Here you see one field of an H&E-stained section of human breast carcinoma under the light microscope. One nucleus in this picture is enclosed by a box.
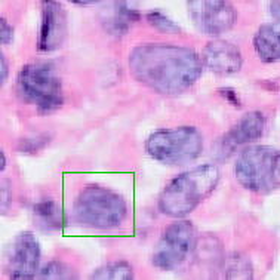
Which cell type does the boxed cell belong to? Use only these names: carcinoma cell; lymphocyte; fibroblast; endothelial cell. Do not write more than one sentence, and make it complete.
The cell type represented by the boxed cell is that of a carcinoma cell.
